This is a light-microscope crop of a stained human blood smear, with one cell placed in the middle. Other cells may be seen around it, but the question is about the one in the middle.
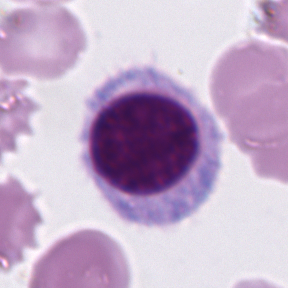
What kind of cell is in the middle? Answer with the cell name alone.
hairy cell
